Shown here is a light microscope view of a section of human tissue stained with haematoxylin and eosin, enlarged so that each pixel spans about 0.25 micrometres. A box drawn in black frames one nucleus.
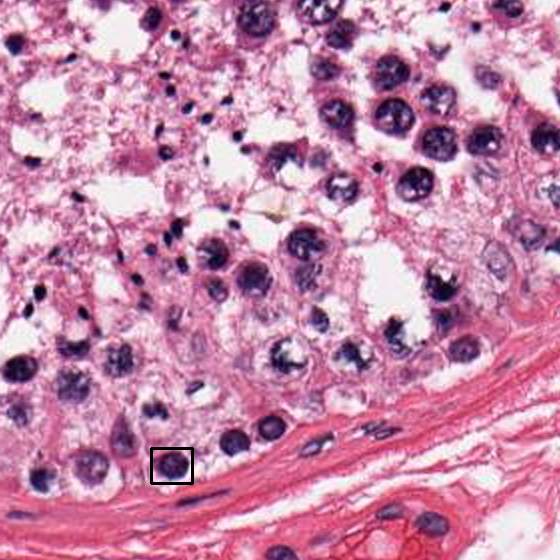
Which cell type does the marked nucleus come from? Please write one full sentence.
Located in a spermatogonium is the marked nucleus.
